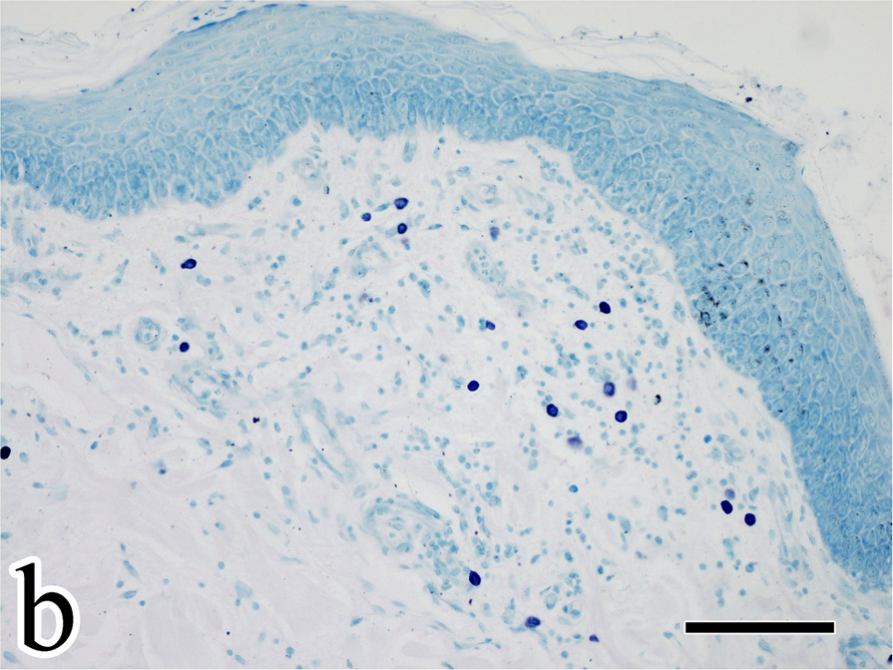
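This is skin stained in blue tones, with a thick epidermis above and loose dermis below, where mast cells stand out. The epidermis is a wide pale-blue band of layered keratinocytes. In the pale upper dermis many small light-blue nuclei are scattered. Among them lie round cells stained deep purple, in clear contrast to the blue of the surrounding tissue. These dark purple cells are spread through the dermis just beneath the epidermis.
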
